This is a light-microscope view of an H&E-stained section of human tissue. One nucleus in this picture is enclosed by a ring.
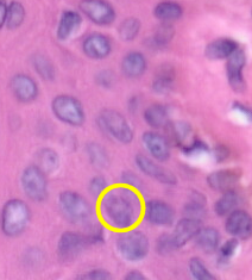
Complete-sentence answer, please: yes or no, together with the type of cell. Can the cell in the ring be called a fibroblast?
No, the cell in the ring counts as a suprabasal keratinocyte, not a fibroblast.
